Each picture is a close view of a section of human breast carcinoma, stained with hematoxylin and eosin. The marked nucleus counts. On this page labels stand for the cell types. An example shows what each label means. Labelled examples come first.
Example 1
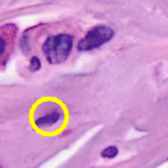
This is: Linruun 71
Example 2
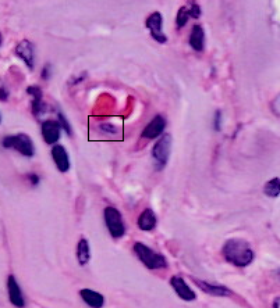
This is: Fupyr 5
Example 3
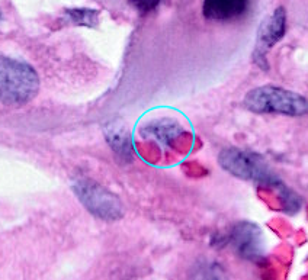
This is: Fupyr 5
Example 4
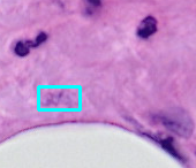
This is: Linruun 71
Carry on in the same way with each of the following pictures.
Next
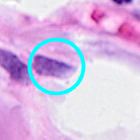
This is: Linruun 71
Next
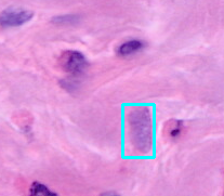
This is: Linruun 71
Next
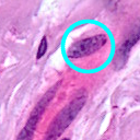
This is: Fupyr 5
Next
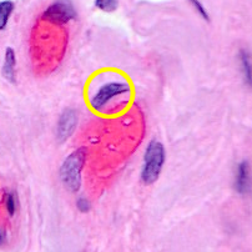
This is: Fupyr 5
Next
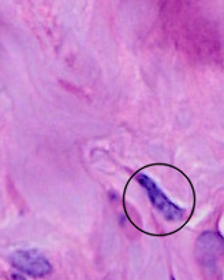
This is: Linruun 71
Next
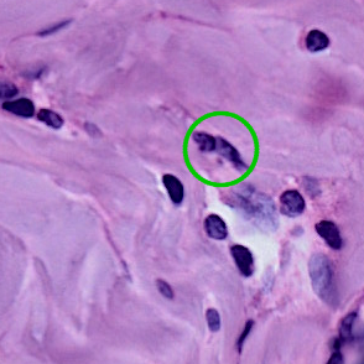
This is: Linruun 71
